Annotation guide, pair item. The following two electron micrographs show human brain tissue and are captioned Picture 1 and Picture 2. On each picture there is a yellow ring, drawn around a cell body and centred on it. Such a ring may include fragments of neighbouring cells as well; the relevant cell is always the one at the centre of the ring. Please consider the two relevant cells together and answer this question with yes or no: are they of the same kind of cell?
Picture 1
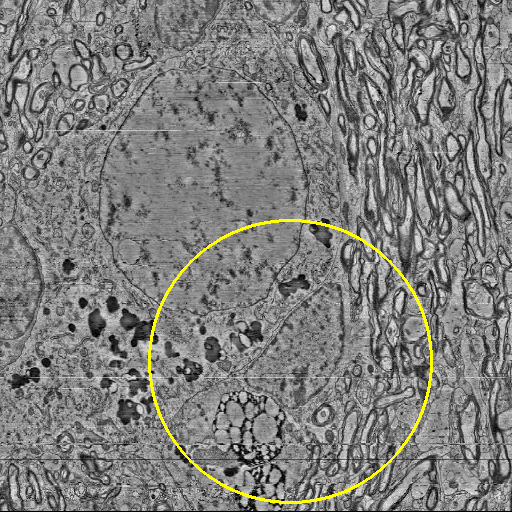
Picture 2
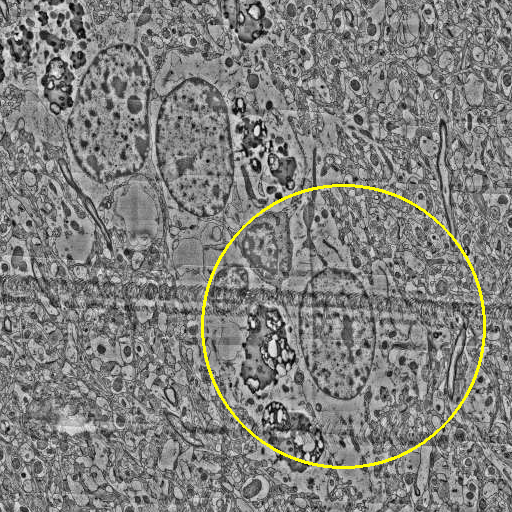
yes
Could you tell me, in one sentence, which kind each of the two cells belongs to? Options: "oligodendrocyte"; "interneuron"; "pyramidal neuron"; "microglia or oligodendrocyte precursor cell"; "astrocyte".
Each one of the two ringed cells is an astrocyte.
